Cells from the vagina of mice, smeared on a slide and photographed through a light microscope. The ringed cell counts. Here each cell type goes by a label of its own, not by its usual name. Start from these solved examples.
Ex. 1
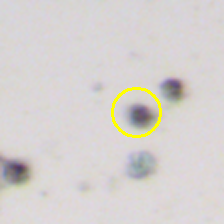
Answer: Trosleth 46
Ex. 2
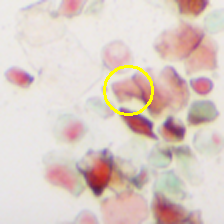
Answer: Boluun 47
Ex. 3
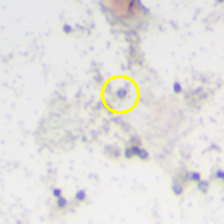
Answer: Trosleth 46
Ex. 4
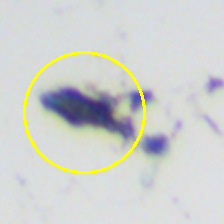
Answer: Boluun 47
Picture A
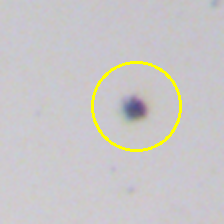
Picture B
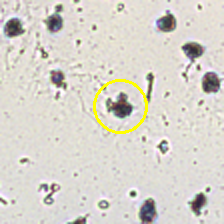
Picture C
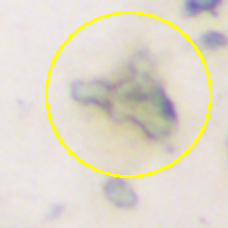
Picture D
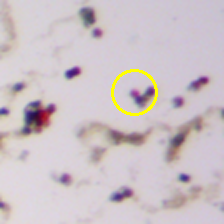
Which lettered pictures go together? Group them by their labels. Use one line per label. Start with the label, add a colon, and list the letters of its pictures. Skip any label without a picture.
Trosleth 46: A, B, D
Boluun 47: C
